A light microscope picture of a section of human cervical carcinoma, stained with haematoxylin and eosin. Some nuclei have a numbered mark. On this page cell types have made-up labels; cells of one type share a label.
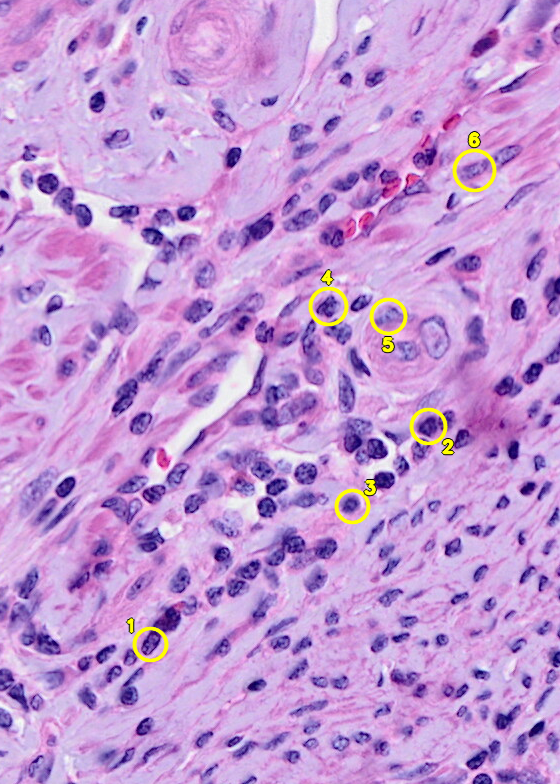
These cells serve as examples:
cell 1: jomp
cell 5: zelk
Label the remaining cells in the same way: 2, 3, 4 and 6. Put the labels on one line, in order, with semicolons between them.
jomp; jomp; jomp; zelk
